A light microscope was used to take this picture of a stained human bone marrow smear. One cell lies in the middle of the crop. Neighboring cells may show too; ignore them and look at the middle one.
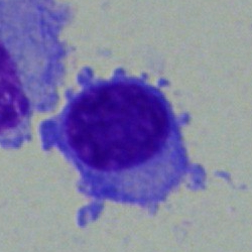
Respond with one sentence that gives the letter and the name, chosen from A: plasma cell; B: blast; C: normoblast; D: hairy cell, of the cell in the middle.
Option A is the correct option, with the middle cell being a plasma cell.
